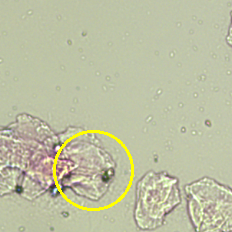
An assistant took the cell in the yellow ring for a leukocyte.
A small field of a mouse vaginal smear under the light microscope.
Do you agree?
I disagree, it is a cornified epithelial cell.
